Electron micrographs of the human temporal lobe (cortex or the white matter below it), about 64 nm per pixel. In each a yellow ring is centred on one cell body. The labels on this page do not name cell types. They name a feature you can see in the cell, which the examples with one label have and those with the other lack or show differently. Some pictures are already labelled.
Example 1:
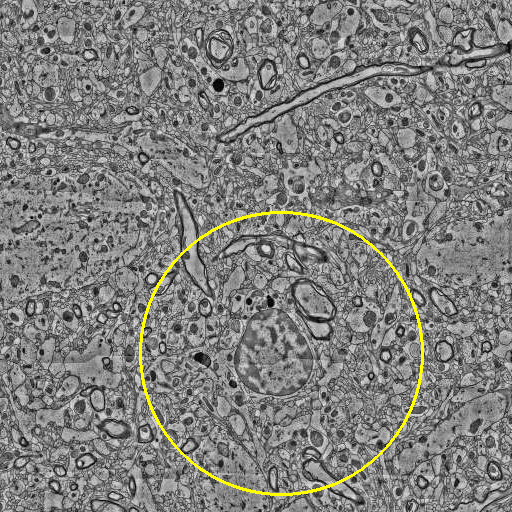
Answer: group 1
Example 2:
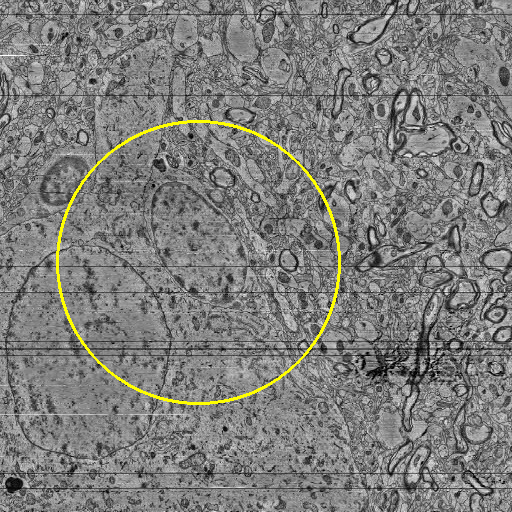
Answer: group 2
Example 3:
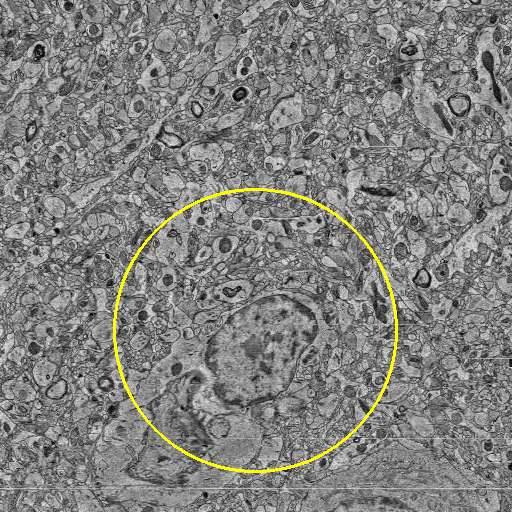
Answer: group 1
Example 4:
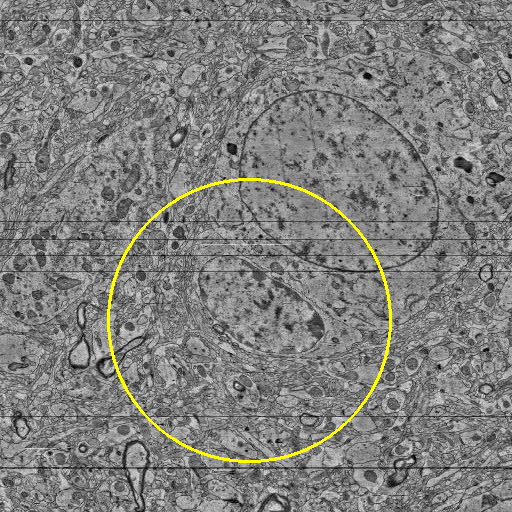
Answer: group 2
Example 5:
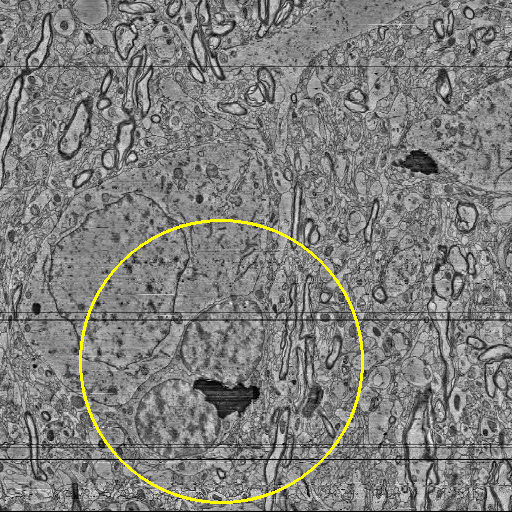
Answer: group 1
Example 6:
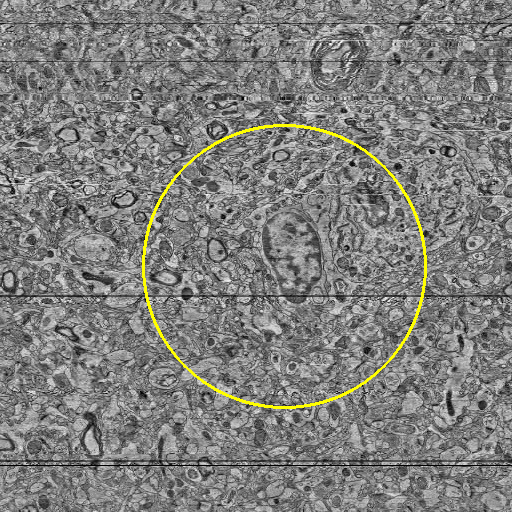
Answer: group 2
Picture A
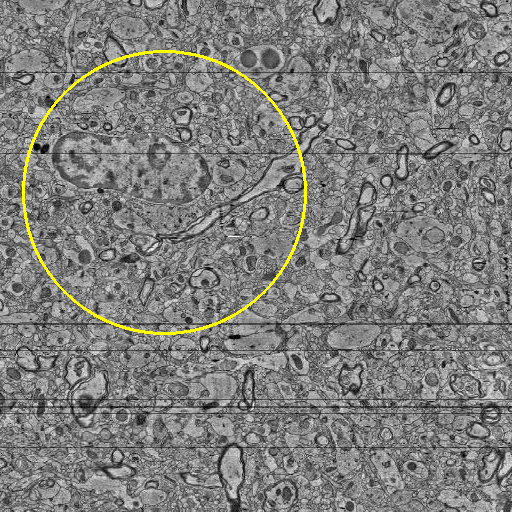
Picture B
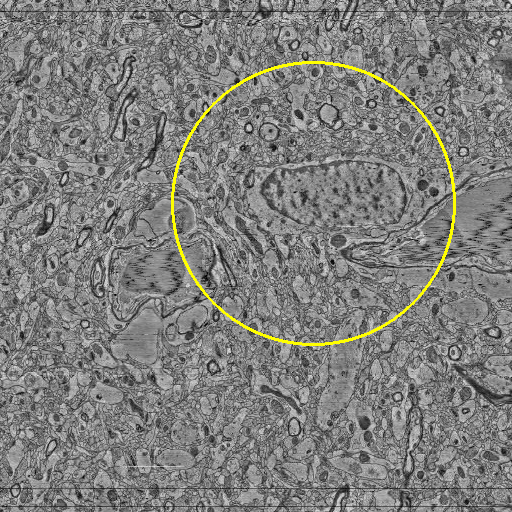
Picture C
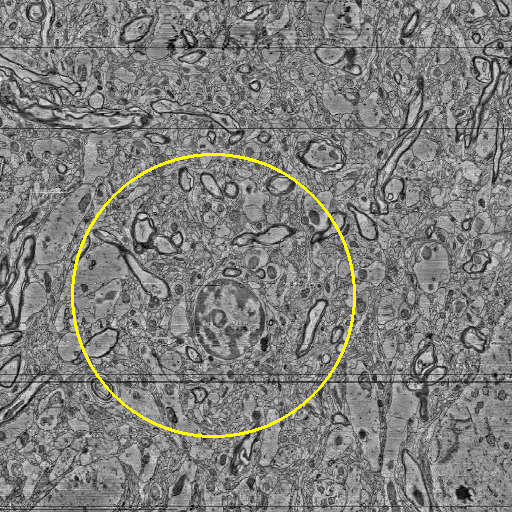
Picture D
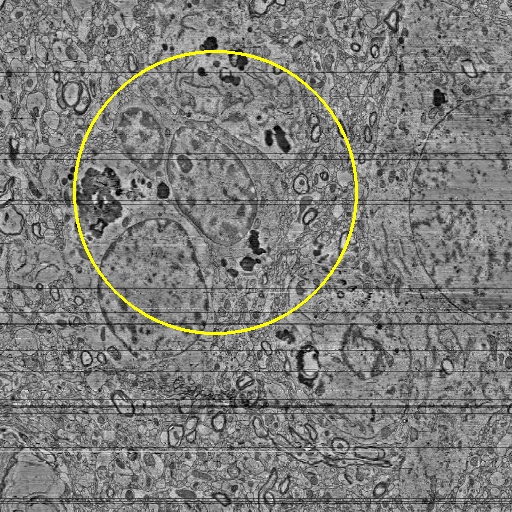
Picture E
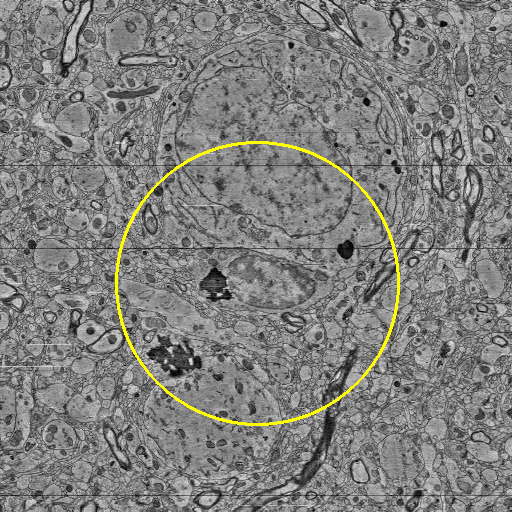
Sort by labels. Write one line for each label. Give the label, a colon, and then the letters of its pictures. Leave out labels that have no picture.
group 1: C
group 2: A, B, D, E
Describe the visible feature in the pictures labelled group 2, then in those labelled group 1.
group 2, clearly elongated nuclei; group 1, round or nearly round nuclei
